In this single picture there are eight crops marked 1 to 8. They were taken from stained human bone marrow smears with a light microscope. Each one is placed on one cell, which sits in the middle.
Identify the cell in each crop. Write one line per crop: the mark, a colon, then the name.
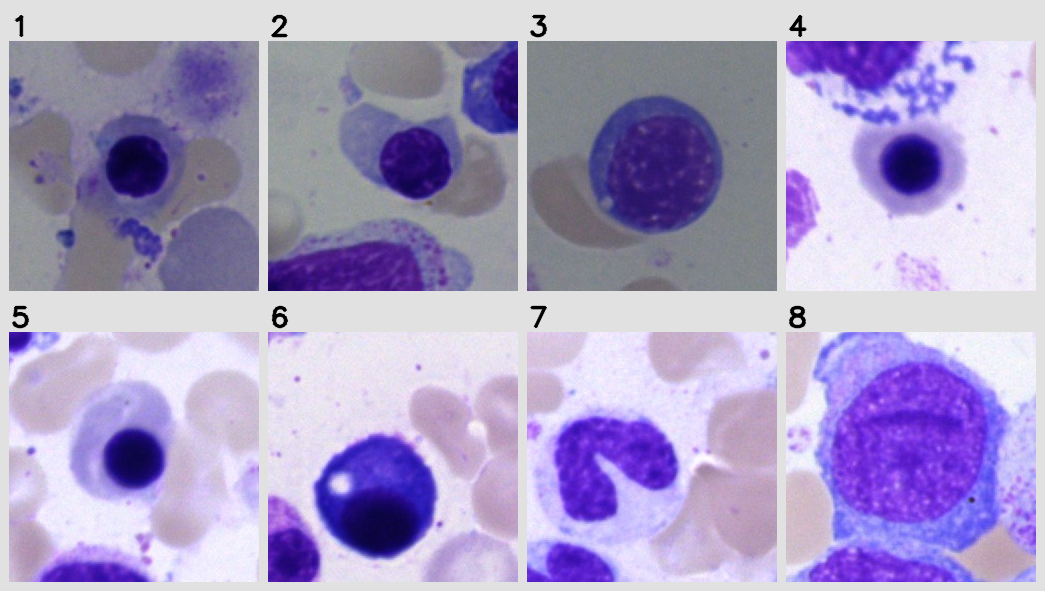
1: erythroblast
2: erythroblast
3: erythroblast
4: erythroblast
5: erythroblast
6: plasma cell
7: band neutrophil
8: blast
